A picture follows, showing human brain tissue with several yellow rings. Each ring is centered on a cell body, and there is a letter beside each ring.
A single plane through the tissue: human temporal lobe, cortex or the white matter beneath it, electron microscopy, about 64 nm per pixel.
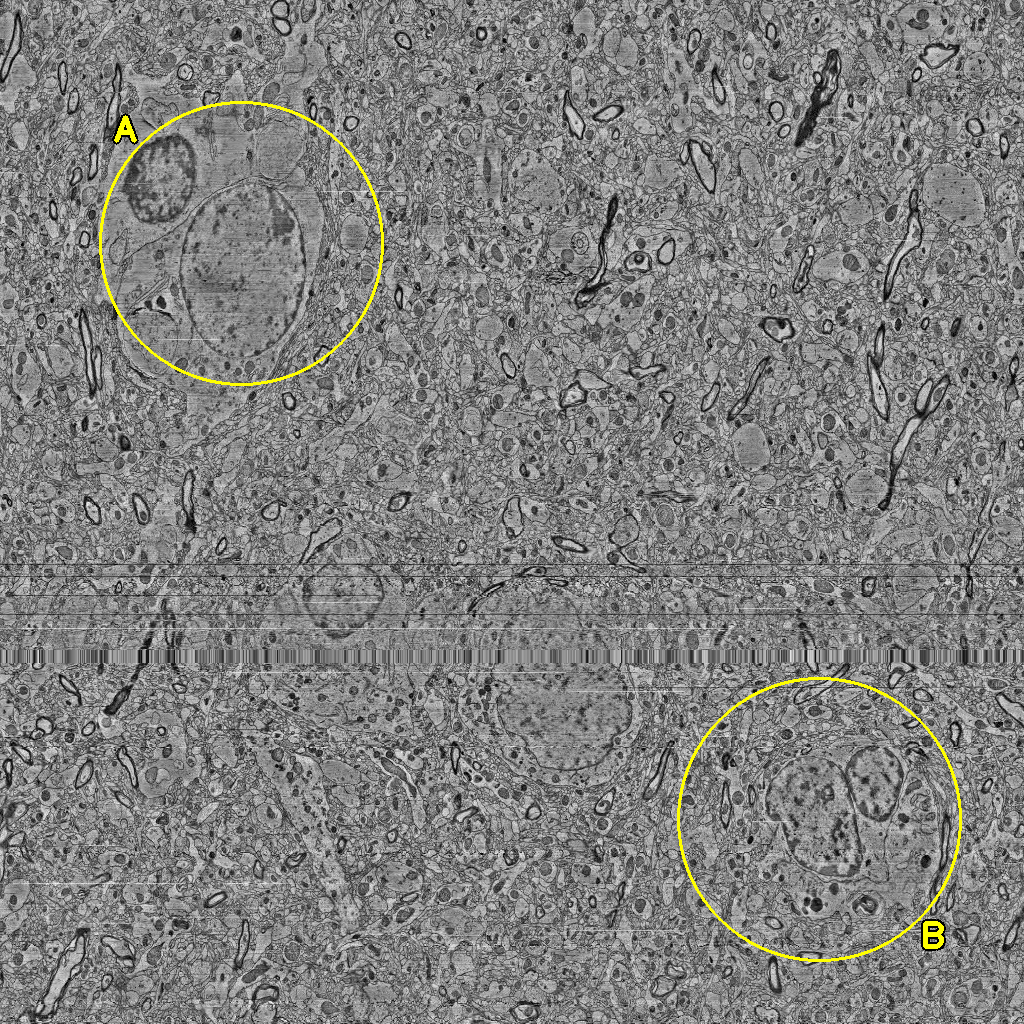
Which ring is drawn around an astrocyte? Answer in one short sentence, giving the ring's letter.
Ring A is drawn around it.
